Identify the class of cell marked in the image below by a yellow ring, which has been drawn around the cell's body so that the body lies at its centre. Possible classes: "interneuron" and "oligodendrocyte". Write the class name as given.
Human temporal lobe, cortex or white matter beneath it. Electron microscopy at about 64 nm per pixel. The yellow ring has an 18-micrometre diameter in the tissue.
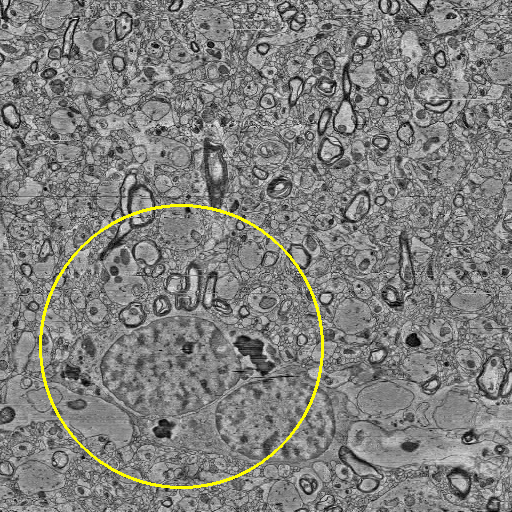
oligodendrocyte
